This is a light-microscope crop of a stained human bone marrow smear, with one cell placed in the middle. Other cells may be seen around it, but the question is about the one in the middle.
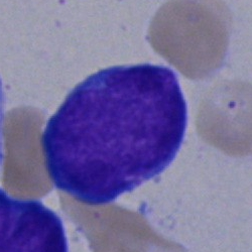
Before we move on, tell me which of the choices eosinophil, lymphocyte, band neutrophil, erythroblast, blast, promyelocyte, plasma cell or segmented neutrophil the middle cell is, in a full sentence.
The cell under consideration, at the middle of the crop, is a blast.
